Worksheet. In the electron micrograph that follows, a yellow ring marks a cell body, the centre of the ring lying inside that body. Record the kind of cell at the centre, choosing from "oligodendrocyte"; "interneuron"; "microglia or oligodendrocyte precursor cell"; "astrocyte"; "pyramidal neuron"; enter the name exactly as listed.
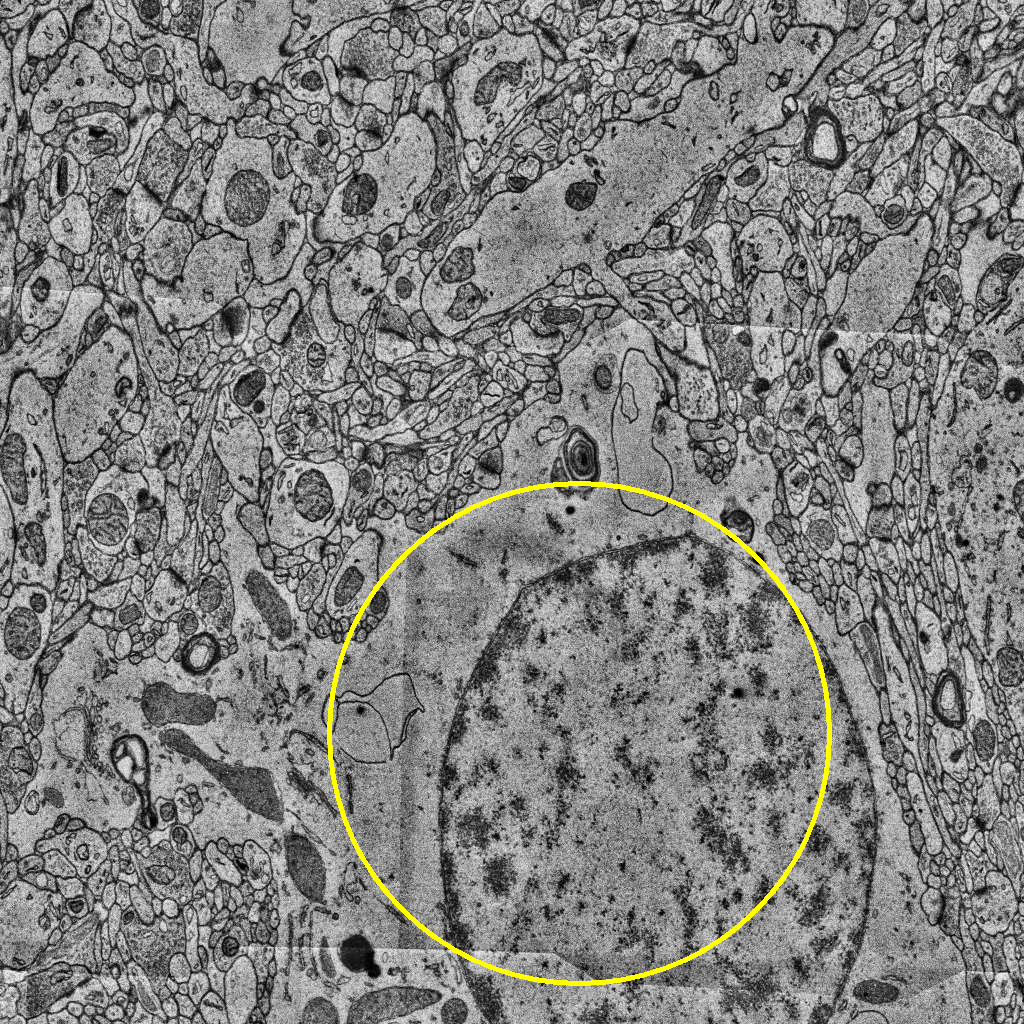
astrocyte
